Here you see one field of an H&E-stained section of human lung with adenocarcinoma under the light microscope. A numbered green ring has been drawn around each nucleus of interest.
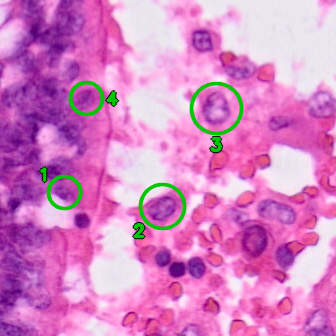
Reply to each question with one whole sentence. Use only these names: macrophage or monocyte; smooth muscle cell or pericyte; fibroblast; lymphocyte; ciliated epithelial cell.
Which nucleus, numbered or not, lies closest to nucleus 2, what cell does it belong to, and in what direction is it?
The nearest nucleus is that of a lymphocyte and lies below nucleus 2.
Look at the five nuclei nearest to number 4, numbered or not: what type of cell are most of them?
Around number 4, most of the five nearest nuclei are those of ciliated epithelial cells.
